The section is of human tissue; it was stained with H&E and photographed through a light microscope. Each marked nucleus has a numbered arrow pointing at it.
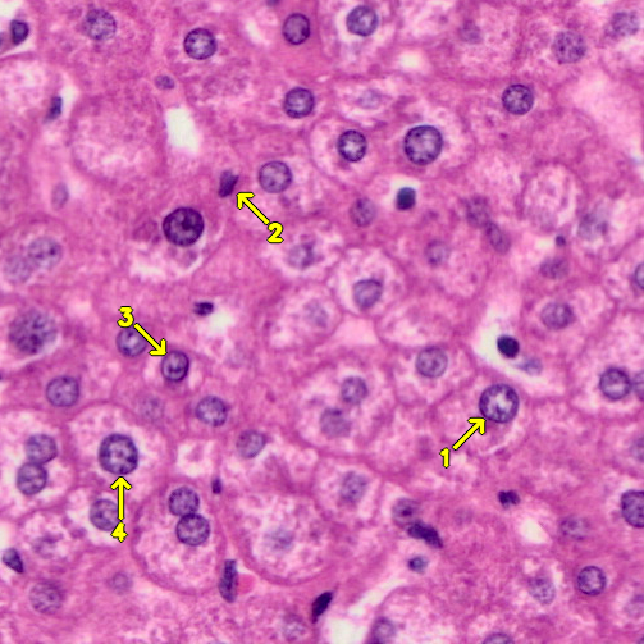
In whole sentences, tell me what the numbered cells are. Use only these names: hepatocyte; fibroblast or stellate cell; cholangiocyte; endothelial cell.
Cells 1, 3 and 4 are hepatocytes. Cell 2 is a fibroblast or stellate cell.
